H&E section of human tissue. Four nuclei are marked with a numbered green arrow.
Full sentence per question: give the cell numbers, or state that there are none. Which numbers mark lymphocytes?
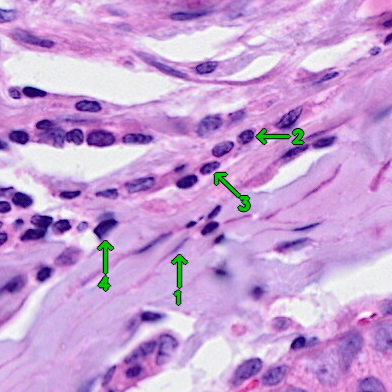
Cells 2, 3 and 4 are of one type, namely lymphocytes.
